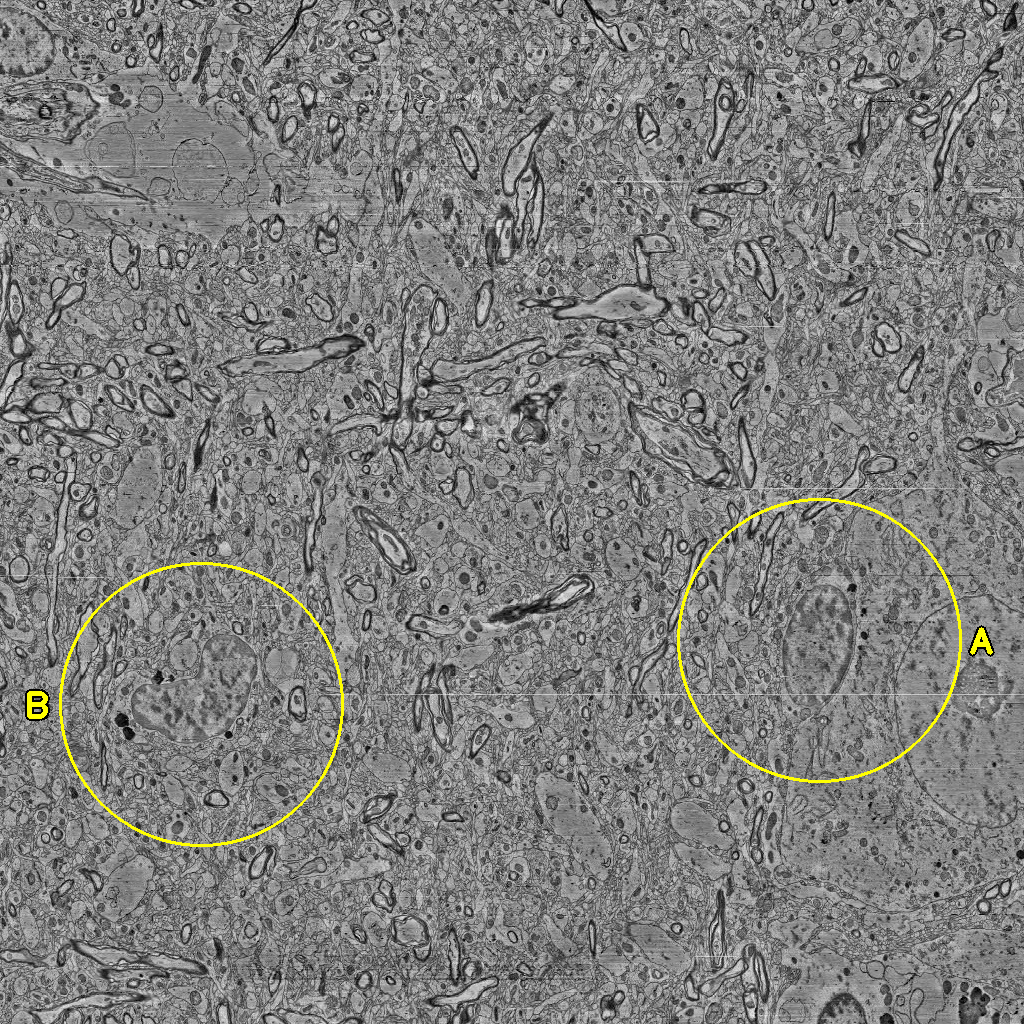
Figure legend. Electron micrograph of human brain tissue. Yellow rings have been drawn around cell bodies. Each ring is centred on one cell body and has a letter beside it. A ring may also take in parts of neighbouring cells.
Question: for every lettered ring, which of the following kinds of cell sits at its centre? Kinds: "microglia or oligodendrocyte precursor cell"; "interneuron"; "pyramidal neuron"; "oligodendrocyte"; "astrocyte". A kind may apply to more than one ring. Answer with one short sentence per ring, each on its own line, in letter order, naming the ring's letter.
Ring A is centred on an oligodendrocyte.
Ring B is centred on a microglial cell or oligodendrocyte precursor cell.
